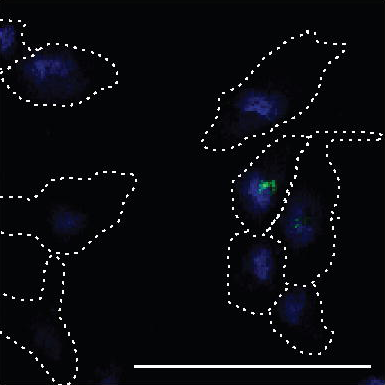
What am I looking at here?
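Several flat, irregular cells, each traced by a white dashed line, lie scattered over a dark background, and each holds a single oval blue nucleus. A few small green dots sit inside a couple of cells near the centre, close beside the nucleus. Most of the other outlined cells carry no green dots at all.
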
